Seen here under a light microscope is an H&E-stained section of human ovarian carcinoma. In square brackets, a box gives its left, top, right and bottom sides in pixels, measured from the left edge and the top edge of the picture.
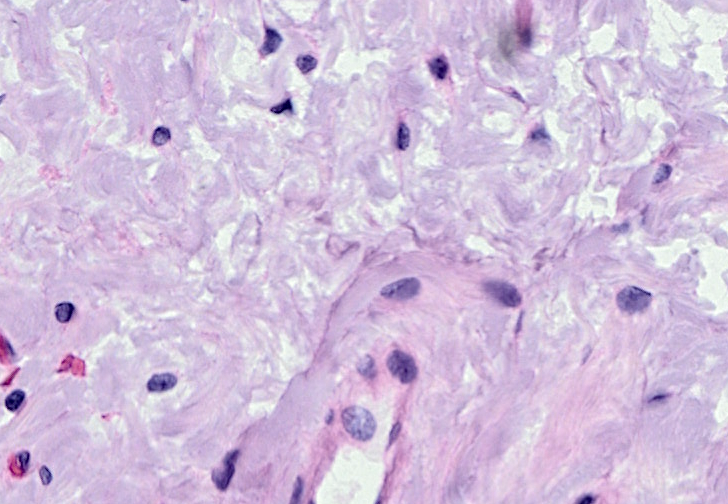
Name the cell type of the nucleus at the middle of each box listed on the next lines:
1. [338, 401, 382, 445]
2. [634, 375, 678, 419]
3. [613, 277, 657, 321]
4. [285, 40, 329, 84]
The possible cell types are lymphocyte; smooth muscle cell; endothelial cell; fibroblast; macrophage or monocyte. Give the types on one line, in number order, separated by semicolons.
endothelial cell; fibroblast; fibroblast; lymphocyte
